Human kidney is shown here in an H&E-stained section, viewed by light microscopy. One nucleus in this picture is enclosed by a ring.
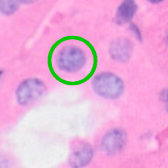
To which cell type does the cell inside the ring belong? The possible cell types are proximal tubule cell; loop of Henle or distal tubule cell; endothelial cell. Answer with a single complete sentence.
In cellular terms, the cell inside the ring is a loop of Henle or distal tubule cell.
